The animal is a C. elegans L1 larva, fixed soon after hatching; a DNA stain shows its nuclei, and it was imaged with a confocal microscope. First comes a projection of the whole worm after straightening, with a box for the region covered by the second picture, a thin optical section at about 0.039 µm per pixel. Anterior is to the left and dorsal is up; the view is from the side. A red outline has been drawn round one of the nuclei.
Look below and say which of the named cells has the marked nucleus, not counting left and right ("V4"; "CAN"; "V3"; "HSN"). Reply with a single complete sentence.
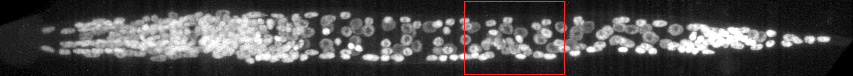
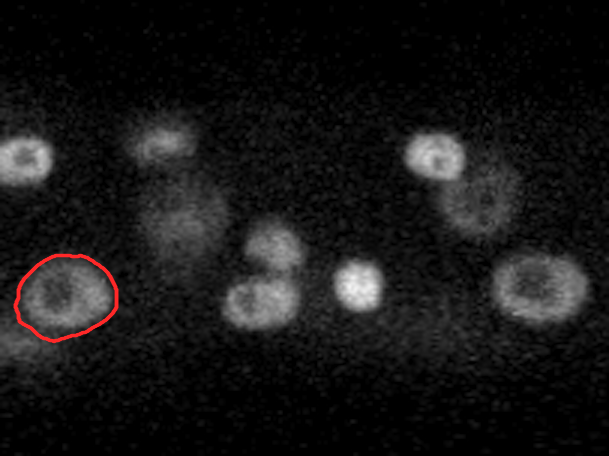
The marked nucleus is that of V3, a seam cell.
